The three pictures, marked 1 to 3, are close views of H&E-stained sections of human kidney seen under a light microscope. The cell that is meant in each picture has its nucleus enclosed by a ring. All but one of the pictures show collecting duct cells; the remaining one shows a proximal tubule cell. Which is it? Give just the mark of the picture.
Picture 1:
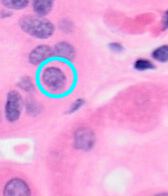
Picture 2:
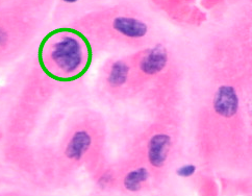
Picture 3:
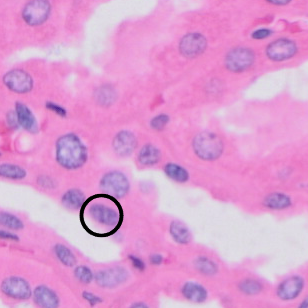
2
